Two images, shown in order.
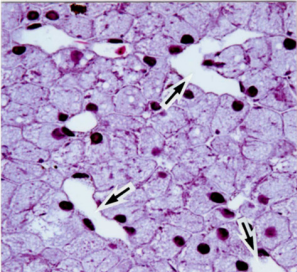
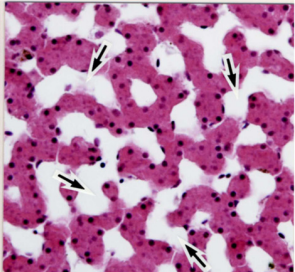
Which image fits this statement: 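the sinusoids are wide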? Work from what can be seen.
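The second image. Second image: wide clear spaces surround thin cords of cells.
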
